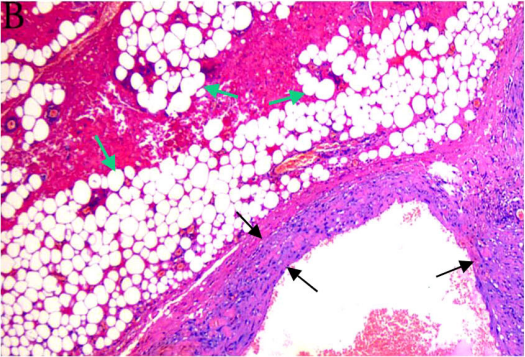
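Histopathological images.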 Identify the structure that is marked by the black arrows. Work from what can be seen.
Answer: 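Vessel walls. The arrows point to a thick band of pink tissue with purple nuclei. This band surrounds a wide open space holding some red material.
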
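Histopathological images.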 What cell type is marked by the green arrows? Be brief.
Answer: Adipocytes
